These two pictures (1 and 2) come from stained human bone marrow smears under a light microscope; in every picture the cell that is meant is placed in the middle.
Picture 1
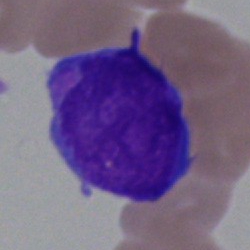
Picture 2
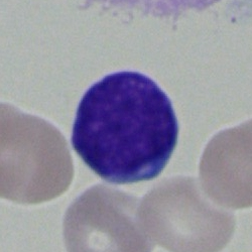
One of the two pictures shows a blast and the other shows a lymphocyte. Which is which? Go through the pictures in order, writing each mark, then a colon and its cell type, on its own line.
1: blast
2: lymphocyte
